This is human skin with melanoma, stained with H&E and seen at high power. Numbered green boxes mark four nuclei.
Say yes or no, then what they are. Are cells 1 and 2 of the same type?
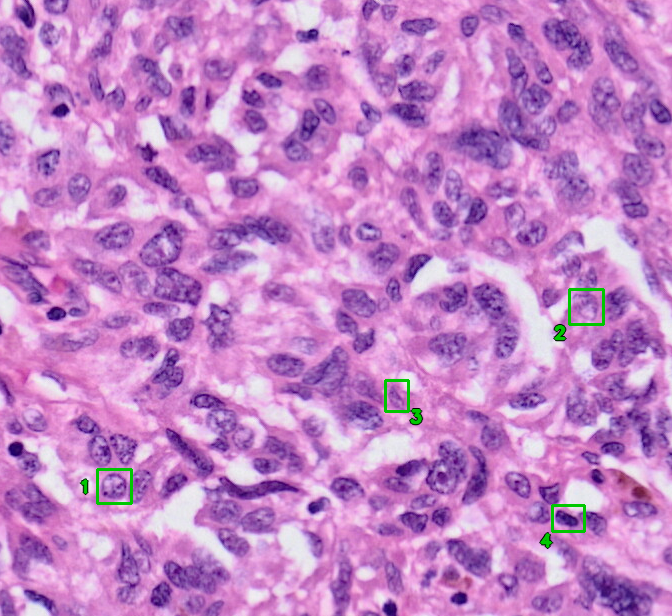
Yes, that cells 1 and 2 are both melanoma cells holds true.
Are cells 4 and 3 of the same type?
No, just to clarify, cell 4 is a lymphocyte and cell 3 is a melanoma cell.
